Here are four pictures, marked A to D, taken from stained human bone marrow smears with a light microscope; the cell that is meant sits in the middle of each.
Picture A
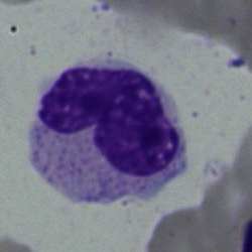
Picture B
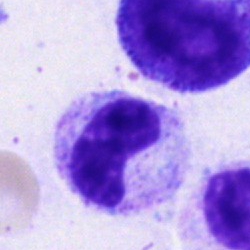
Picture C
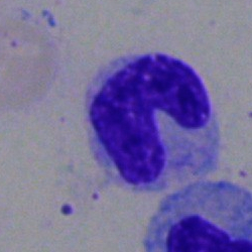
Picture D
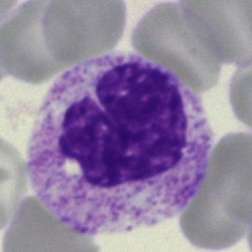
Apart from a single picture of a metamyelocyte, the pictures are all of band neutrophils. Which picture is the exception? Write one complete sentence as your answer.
Picture D shows the metamyelocyte.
